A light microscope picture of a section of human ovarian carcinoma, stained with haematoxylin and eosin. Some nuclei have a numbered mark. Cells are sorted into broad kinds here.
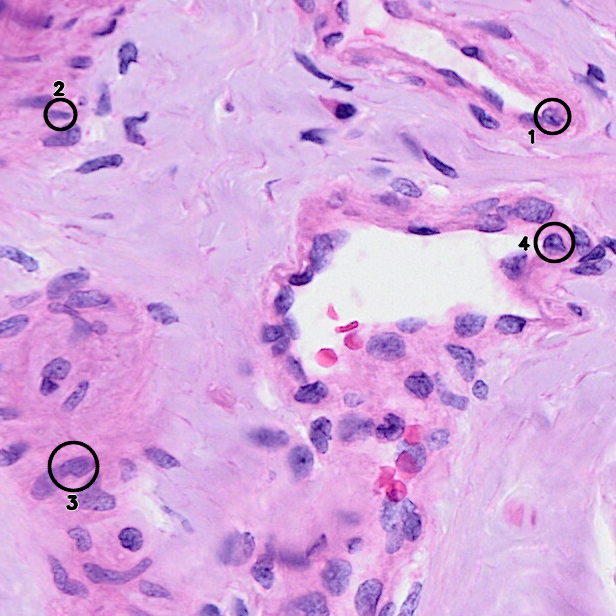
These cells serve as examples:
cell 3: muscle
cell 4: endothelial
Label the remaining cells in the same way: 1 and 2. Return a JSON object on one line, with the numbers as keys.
{"1": "endothelial", "2": "muscle"}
